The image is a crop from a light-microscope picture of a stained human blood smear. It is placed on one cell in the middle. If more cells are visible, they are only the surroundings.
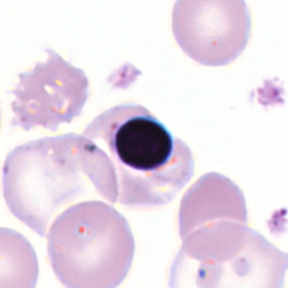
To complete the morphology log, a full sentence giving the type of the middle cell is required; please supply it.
Among the cells in view, the one in the middle is a normoblast.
